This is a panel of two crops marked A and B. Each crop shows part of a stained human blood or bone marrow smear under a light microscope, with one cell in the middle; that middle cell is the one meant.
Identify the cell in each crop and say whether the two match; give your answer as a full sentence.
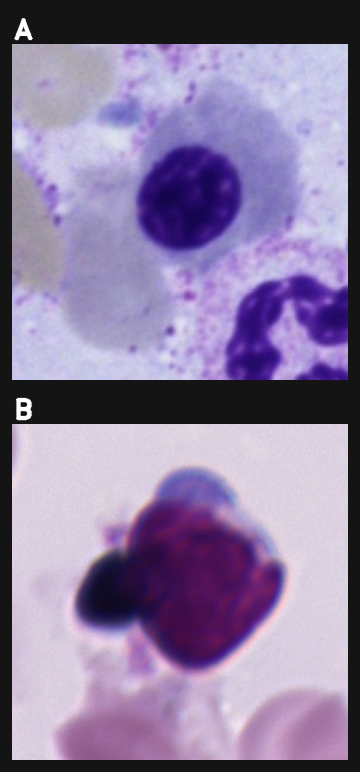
No, crop A shows an erythroblast, and the cell in crop B is a lymphocyte.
